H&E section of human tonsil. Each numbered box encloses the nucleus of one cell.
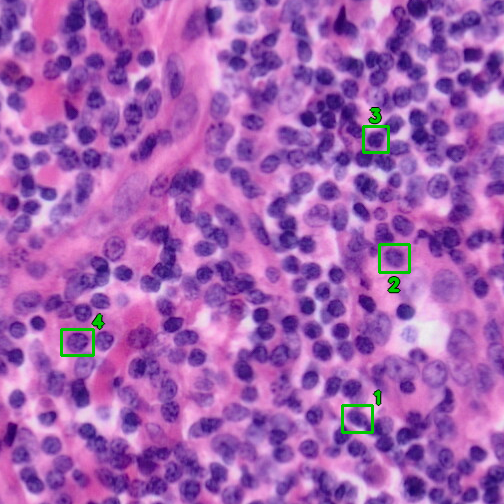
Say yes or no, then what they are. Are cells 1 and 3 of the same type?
Yes, by their numbers, cells 1 and 3 are both small lymphocytes.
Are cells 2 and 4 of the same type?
No, cell 4 is a plasma cell, and cell 2 is an endothelial cell.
